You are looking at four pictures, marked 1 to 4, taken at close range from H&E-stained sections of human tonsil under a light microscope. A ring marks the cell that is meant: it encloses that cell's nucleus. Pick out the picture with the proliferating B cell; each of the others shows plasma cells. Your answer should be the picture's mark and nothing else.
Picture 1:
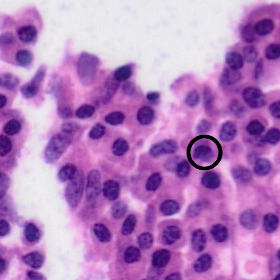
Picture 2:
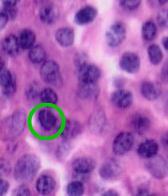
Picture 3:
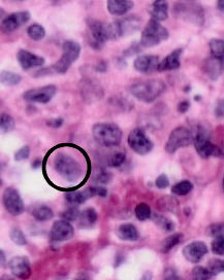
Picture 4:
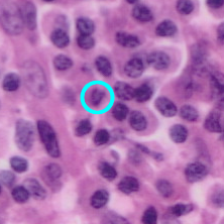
3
